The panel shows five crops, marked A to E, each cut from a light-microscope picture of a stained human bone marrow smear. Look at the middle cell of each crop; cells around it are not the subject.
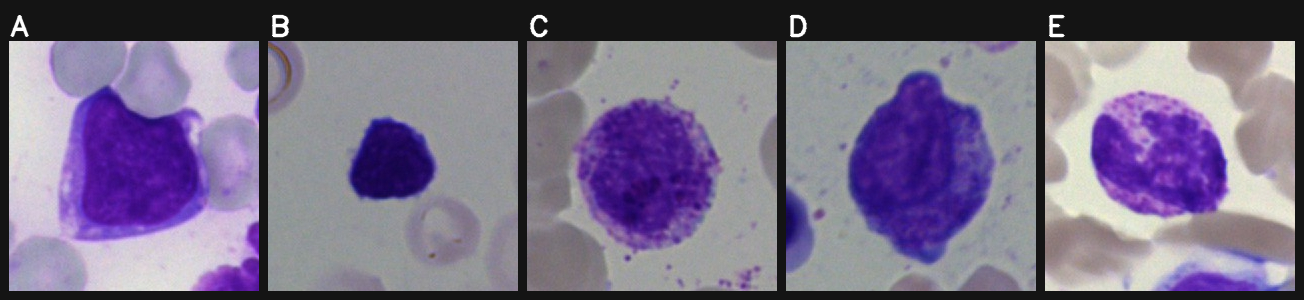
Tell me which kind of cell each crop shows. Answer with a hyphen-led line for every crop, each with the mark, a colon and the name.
- A: blast
- B: lymphocyte
- C: basophil
- D: myelocyte
- E: basophil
